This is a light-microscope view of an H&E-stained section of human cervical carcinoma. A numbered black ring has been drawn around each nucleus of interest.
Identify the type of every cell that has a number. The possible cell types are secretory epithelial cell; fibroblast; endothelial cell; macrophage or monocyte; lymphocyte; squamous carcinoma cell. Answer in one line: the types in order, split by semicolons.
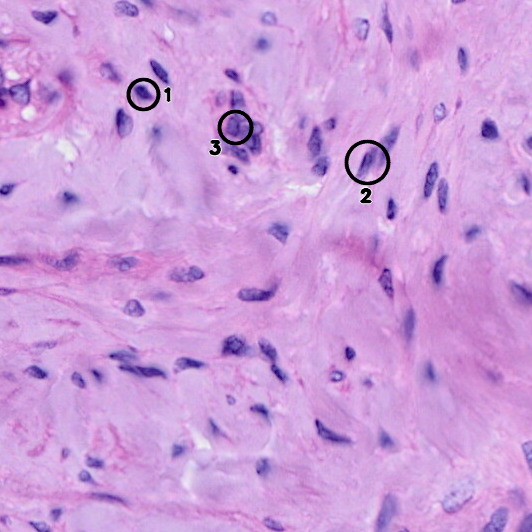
fibroblast; fibroblast; endothelial cell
